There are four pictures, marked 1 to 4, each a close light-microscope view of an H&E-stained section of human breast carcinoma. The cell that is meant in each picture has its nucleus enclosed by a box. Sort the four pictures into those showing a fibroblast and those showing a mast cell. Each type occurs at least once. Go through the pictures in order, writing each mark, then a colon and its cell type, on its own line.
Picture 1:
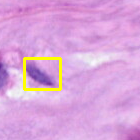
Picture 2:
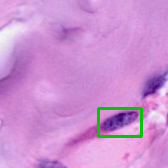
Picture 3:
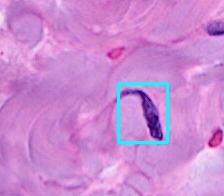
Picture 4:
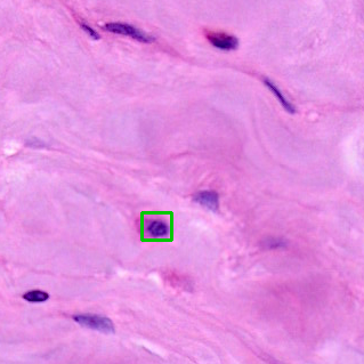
1: fibroblast
2: mast cell
3: fibroblast
4: mast cell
